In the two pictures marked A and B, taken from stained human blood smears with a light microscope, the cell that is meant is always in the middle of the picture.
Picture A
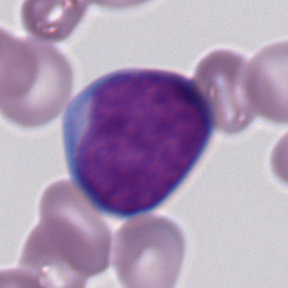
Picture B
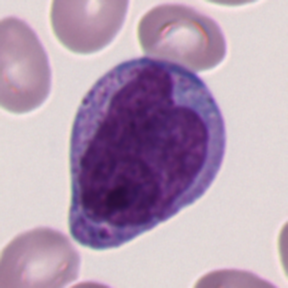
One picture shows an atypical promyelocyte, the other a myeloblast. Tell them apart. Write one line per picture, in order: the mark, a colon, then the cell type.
A: myeloblast
B: atypical promyelocyte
